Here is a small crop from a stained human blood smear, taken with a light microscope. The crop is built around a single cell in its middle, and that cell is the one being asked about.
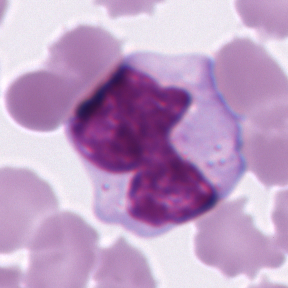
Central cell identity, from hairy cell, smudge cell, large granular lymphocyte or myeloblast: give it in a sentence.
In this crop, the cell at the very middle is a large granular lymphocyte.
